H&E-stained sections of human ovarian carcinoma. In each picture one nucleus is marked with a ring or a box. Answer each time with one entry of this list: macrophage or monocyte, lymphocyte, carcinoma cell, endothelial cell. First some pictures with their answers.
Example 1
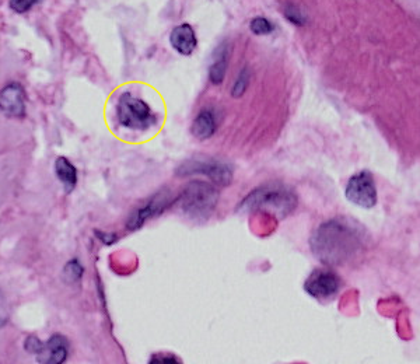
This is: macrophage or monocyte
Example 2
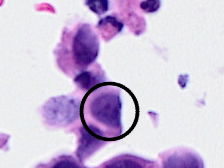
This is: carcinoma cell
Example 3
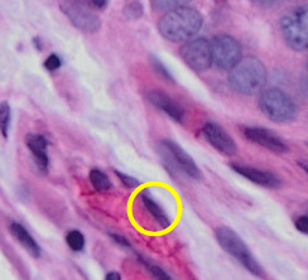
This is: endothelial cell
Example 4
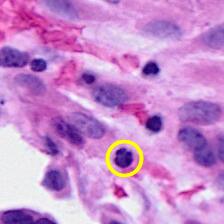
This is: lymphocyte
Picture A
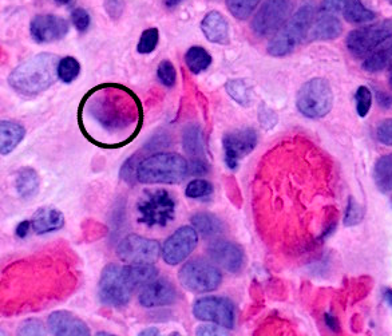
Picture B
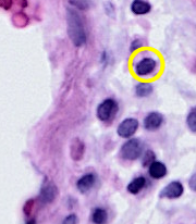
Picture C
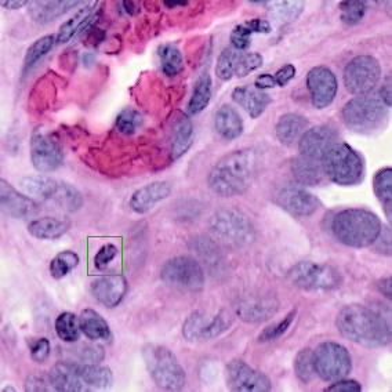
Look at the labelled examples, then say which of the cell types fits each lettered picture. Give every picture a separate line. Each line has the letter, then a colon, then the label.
A: endothelial cell
B: lymphocyte
C: lymphocyte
